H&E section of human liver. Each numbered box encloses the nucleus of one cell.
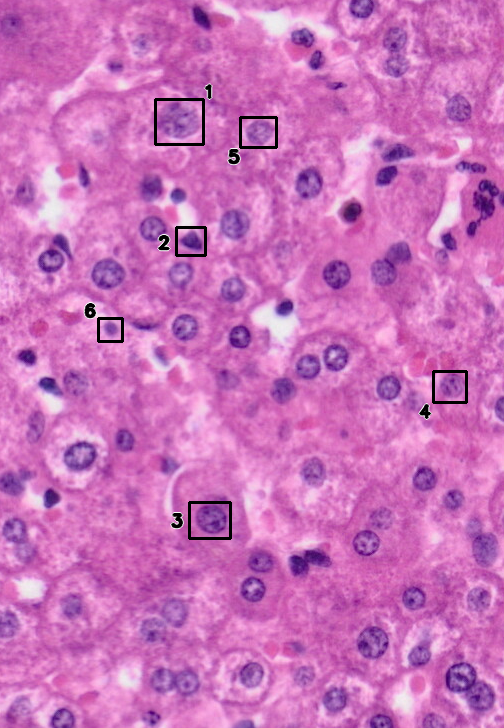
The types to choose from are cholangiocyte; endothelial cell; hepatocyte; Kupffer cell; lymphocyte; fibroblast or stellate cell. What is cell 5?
hepatocyte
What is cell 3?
hepatocyte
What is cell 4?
hepatocyte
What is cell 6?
lymphocyte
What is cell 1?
hepatocyte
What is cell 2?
fibroblast or stellate cell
